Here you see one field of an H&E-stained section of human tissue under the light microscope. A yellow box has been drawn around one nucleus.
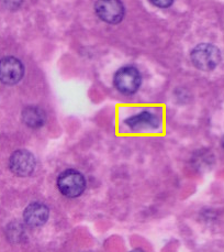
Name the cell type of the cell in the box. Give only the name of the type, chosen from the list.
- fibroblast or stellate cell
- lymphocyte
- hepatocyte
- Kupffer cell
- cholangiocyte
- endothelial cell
endothelial cell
